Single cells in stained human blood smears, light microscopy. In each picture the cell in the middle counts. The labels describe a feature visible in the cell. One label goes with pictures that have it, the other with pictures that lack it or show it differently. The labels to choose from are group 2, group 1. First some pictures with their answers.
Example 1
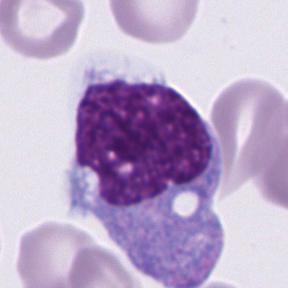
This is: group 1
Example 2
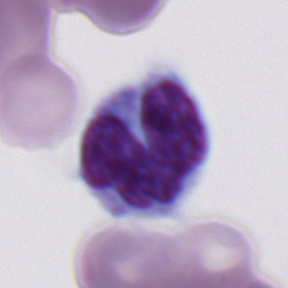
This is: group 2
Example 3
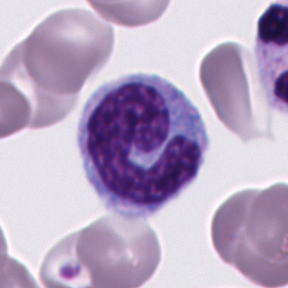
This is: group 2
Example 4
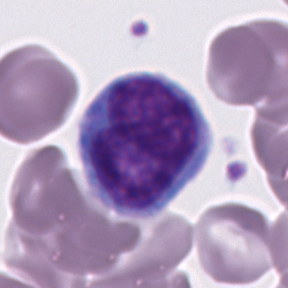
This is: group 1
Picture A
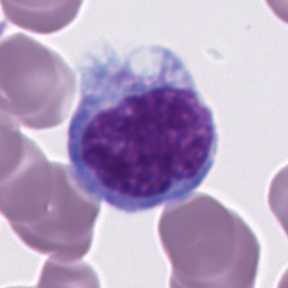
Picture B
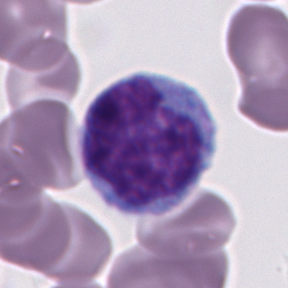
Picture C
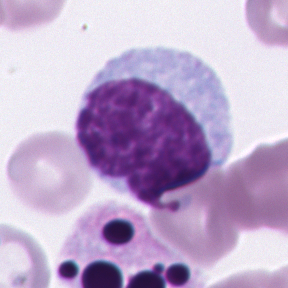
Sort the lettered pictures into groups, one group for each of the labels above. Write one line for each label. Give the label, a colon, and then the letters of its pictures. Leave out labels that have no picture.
group 1: A, B, C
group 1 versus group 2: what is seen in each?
Seen in group 1: round or oval nucleus; seen in group 2: band-shaped nucleus.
